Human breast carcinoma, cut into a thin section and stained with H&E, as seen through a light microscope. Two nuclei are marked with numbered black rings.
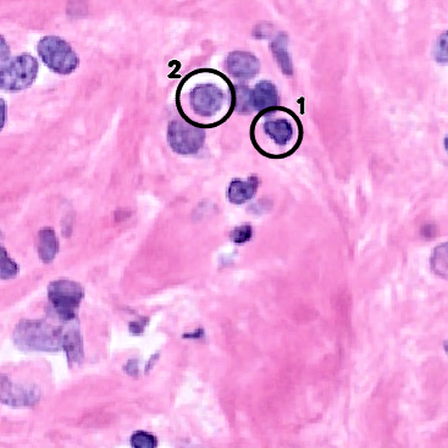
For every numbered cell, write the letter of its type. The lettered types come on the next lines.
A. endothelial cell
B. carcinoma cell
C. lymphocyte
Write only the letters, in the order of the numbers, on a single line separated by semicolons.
C; B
